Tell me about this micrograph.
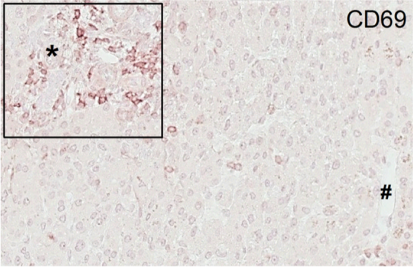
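A low-power view of liver tissue, showing sheets of hepatocytes with a portal field at the upper left and a central vein at the lower right. The hepatocytes are large polygonal cells with pale cytoplasm and round central nuclei, arranged in plates separated by narrow sinusoids. In the boxed portal field, a dense cluster of small cells is stained red. A few red-stained cells are also scattered along the sinusoids between the hepatocyte plates. Near the lower right, the vein appears as a pale, empty lumen without a surrounding cluster of stained cells.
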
